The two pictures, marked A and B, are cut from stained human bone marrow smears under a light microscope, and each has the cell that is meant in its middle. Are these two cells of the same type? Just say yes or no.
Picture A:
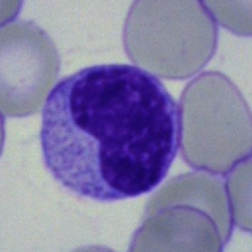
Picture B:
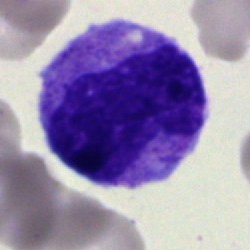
yes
